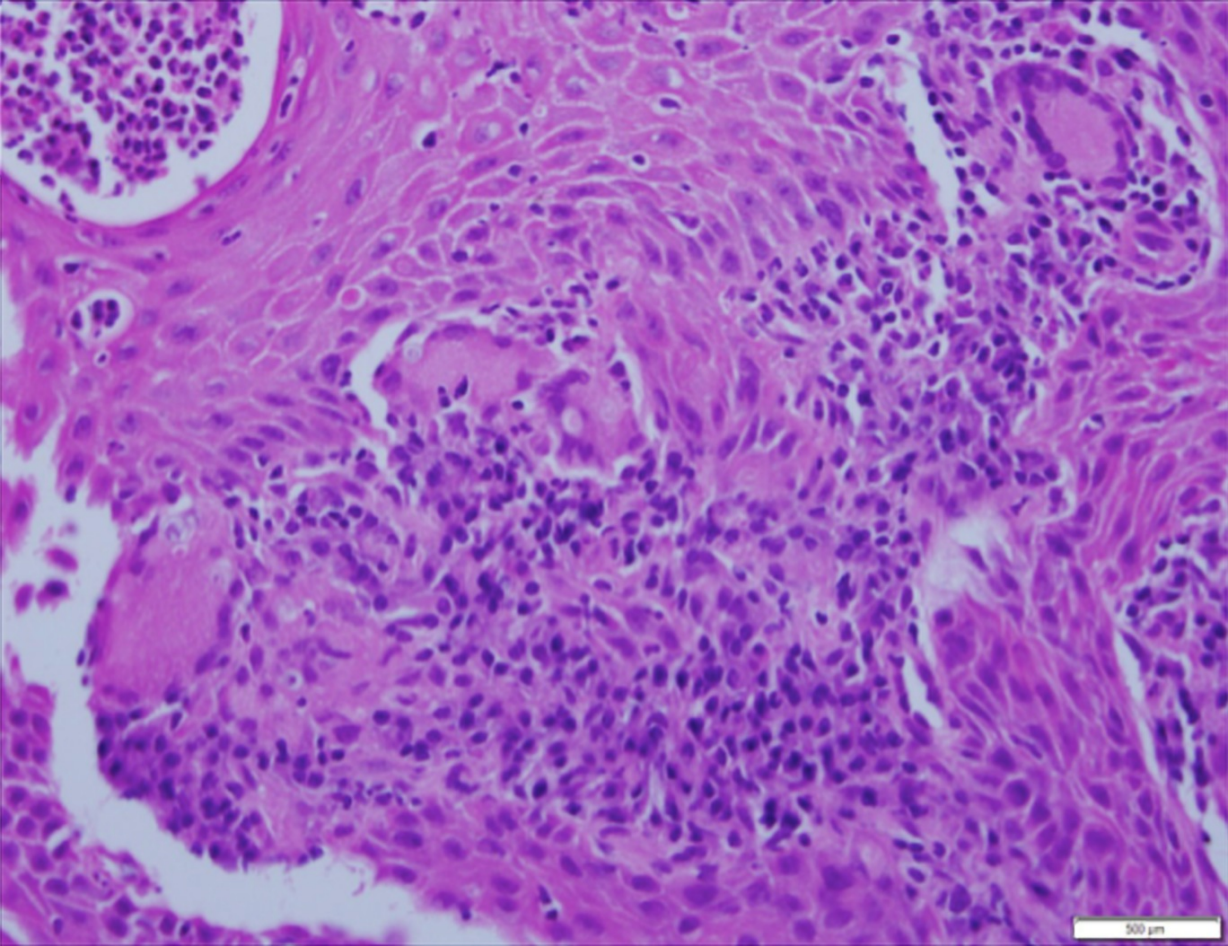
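This is squamous mucosa with layered squamous cells that have pink cytoplasm and oval nuclei. A dense infiltrate of small inflammatory cells with dark nuclei runs through the tissue, and a space at the upper left is filled with such cells. Scattered among them are several very large giant cells with abundant pale pink cytoplasm, some with several nuclei at their edge.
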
